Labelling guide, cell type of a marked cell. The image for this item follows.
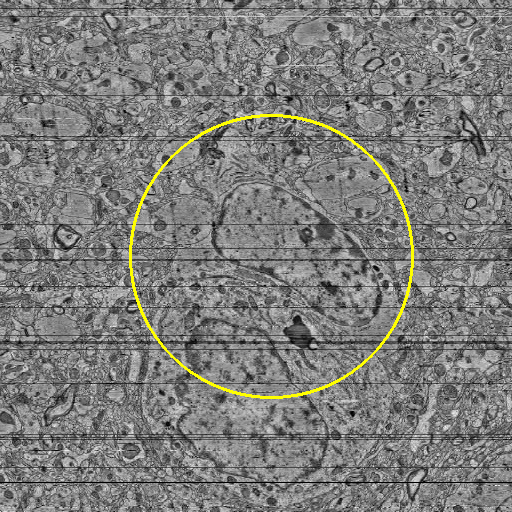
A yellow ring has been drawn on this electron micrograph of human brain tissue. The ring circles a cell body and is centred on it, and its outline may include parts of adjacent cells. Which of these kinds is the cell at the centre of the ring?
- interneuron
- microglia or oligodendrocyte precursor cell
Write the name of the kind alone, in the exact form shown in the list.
microglia or oligodendrocyte precursor cell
